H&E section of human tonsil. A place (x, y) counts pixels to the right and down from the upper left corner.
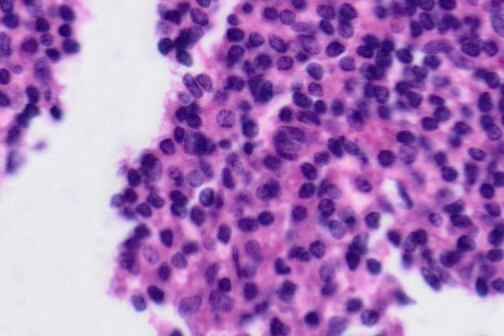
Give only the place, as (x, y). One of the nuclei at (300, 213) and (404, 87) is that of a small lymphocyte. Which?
(404, 87)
